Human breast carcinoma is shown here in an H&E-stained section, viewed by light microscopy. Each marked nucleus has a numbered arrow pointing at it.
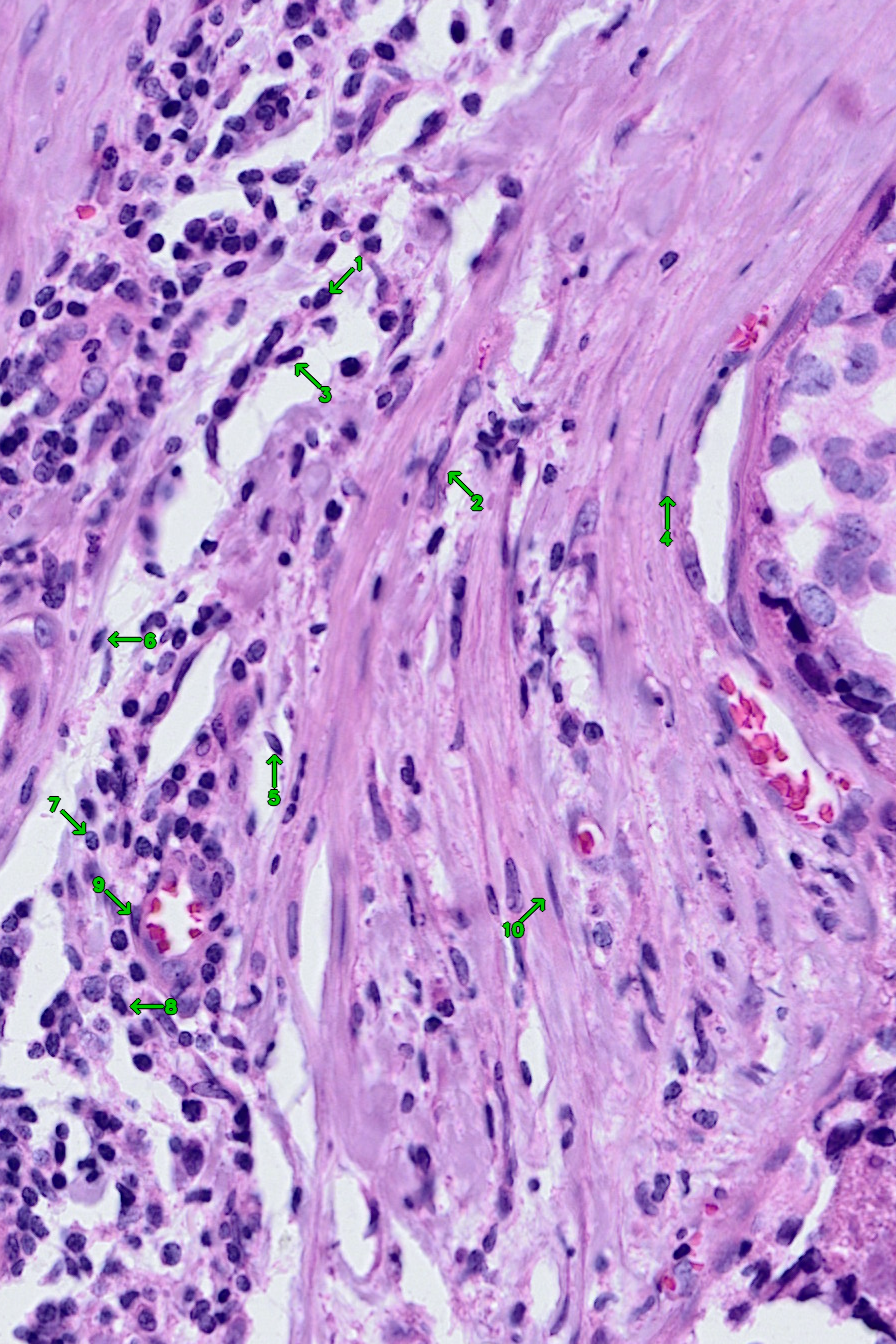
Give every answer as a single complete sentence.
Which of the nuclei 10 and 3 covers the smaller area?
Number 3 is smaller, since number 10 takes up about 2 times as much area.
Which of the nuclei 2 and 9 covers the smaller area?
The smaller nucleus is 9, and 2 covers roughly 1.5 times its area.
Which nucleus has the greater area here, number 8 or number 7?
The larger nucleus is 8, at roughly 1.5 times the area of 7.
